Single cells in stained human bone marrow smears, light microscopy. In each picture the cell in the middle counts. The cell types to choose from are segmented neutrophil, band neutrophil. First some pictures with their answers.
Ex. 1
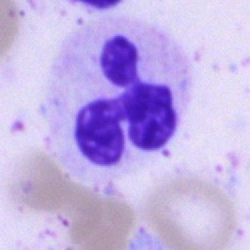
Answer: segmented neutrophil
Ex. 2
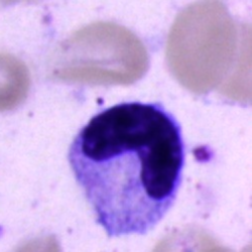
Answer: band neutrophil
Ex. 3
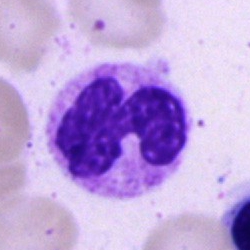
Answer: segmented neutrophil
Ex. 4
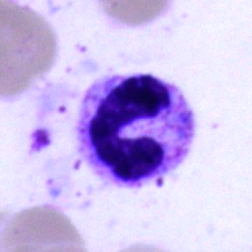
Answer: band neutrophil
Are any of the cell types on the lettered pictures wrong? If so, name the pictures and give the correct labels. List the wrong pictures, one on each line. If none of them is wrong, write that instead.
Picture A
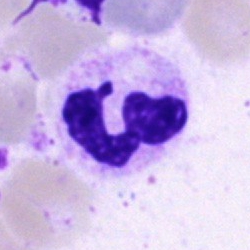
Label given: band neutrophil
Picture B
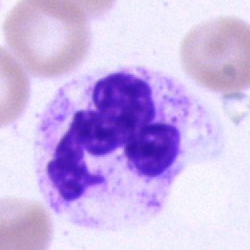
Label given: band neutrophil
A is labelled band neutrophil; correct label: segmented neutrophil
B is labelled band neutrophil; correct label: segmented neutrophil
